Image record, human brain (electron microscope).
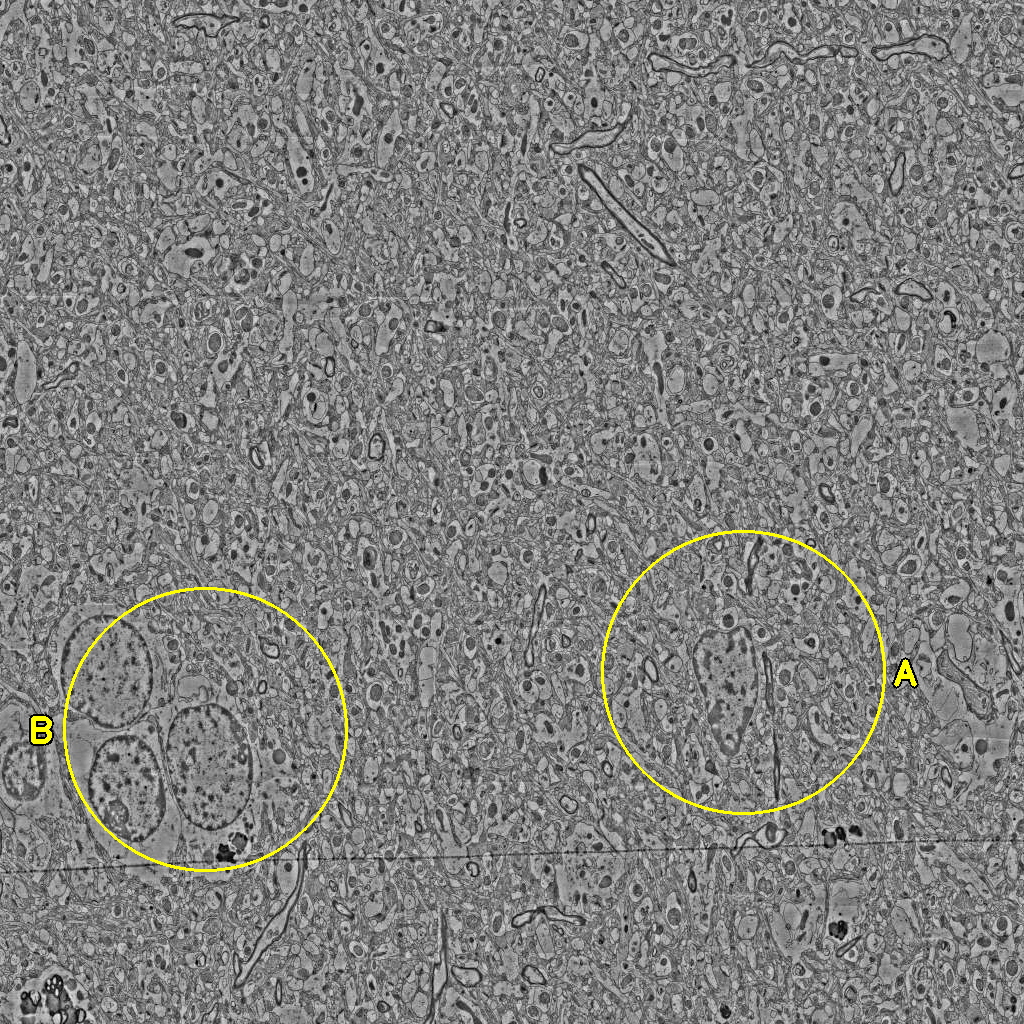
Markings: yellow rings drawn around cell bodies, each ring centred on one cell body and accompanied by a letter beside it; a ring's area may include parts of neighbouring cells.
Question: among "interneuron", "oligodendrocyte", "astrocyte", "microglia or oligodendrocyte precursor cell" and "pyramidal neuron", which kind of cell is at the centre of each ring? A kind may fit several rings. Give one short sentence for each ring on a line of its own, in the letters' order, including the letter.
Ring A is centred on the cell body of a microglial cell or oligodendrocyte precursor cell.
Ring B is centred on the cell body of an astrocyte.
